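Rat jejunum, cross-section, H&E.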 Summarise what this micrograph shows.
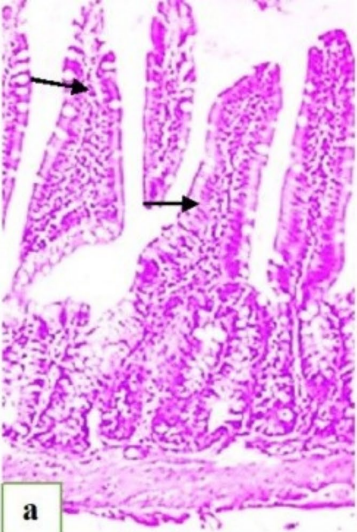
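Tall, slender finger-like villi project into a clear lumen, each lined by a single row of columnar epithelial cells with dark purple nuclei around a cellular core. Below them the mucosa holds tubular crypts, and a pale pink muscular layer runs along the base. The villi are separate and regular with continuous linings.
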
